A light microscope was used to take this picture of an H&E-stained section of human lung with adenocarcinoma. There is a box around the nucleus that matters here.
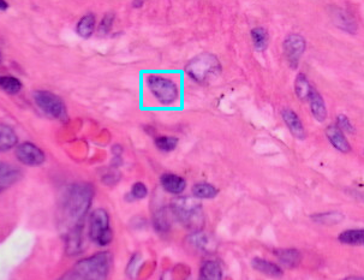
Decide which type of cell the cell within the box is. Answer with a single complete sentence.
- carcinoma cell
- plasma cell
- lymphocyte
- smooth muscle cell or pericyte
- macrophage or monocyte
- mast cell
Cell type answer for this item: the cell within the box is a mast cell.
